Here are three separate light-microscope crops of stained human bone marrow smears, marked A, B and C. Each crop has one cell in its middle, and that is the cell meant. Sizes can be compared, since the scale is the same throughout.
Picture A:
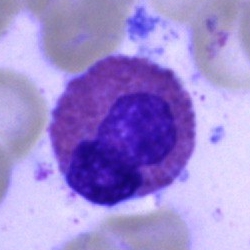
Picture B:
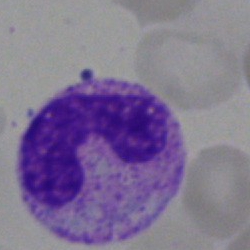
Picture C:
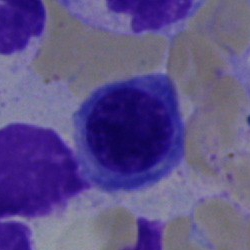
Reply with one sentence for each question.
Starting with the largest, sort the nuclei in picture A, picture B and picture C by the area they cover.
Largest first: B, A, C.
